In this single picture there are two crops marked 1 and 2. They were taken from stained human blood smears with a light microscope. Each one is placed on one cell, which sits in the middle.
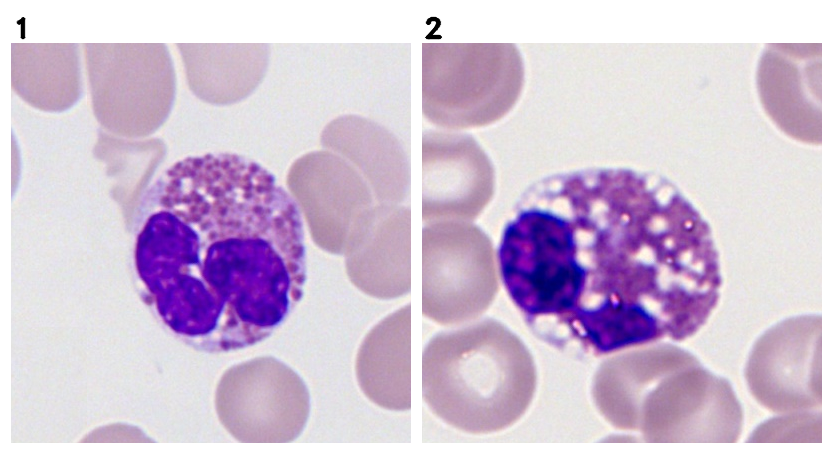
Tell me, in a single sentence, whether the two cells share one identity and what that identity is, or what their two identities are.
Yes, the two crops show eosinophils at their centres.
